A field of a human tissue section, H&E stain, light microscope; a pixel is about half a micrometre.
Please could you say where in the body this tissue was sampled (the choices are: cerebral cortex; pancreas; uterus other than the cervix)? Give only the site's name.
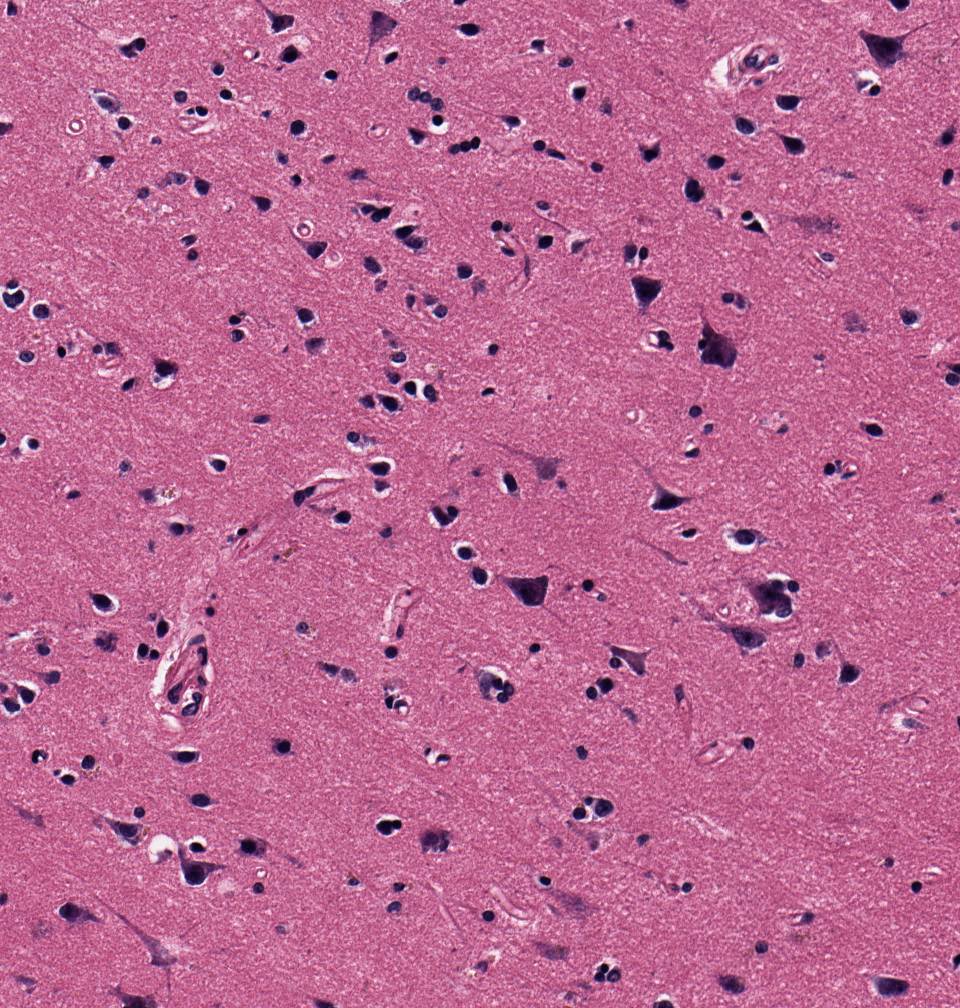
cerebral cortex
